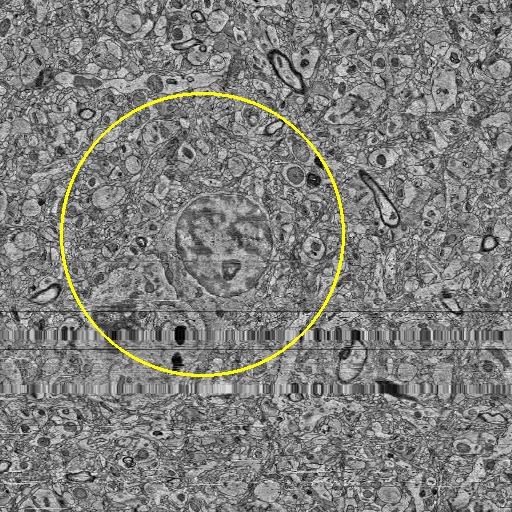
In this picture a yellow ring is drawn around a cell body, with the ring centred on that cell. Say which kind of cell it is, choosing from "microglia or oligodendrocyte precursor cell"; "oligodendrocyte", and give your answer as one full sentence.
Here it is an oligodendrocyte that sits at the centre of the drawn yellow ring.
